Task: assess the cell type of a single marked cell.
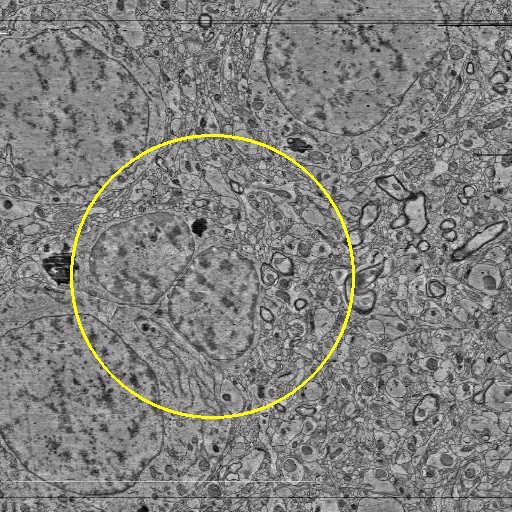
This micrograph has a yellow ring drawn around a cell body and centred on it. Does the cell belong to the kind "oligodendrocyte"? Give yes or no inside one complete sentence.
Yes, the marked cell at the centre of the ring belongs to that kind.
